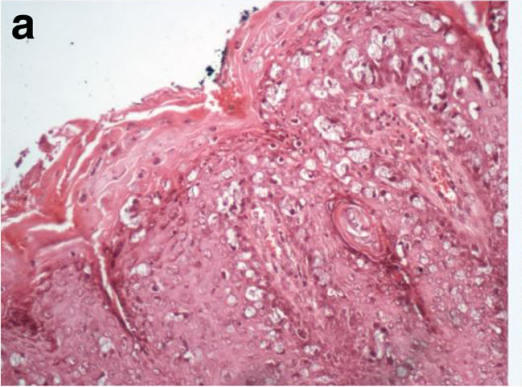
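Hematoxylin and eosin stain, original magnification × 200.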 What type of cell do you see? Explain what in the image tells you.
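Scattered cells within the squamous epithelium are larger than the pink keratinocytes around them. These cells have pale, clear-looking cytoplasm. They lie singly and in small groups throughout the thickness of the epithelium. So: Paget cells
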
